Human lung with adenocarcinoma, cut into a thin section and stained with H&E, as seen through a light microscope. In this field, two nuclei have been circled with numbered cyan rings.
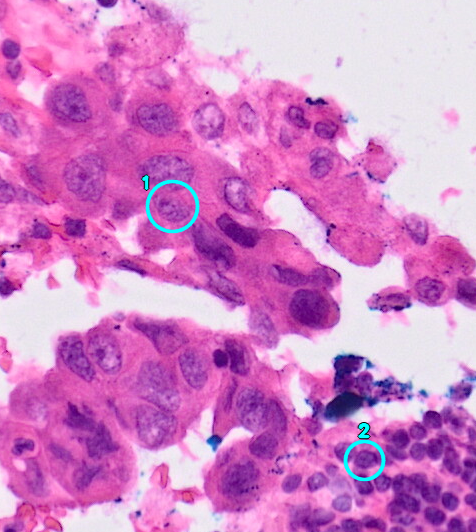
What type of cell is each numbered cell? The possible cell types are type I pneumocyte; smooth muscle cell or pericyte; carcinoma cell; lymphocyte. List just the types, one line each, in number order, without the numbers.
carcinoma cell
lymphocyte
